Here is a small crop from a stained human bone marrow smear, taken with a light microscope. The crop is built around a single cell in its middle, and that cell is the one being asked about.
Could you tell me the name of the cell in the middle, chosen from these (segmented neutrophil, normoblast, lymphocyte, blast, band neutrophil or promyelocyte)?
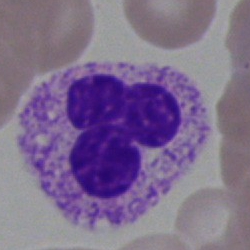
segmented neutrophil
